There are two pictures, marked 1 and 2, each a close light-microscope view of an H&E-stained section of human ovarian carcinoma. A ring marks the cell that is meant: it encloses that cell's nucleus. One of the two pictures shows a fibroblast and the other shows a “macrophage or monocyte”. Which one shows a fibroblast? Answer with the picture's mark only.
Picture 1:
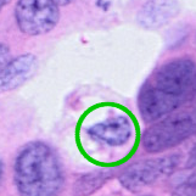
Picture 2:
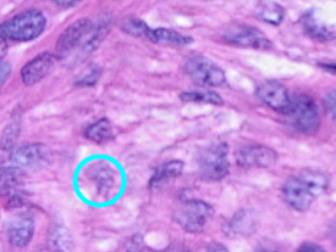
2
